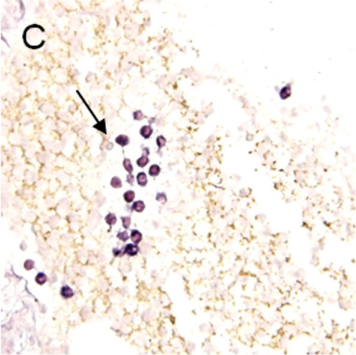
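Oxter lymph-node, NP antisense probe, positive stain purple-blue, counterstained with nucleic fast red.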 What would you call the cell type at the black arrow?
lymphocytes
